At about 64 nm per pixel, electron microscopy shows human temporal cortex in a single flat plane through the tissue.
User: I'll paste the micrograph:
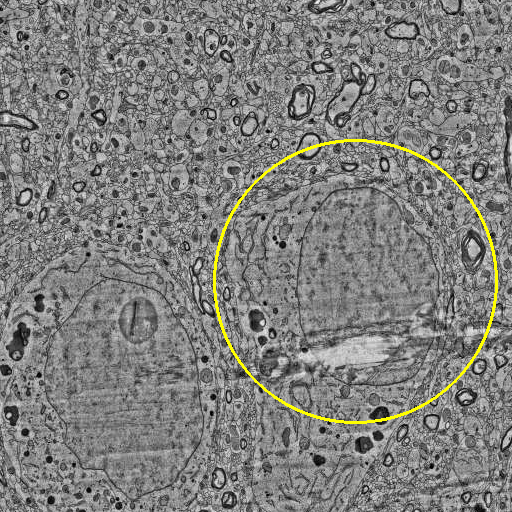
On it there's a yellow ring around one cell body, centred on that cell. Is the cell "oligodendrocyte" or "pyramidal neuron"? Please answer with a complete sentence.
The cell ringed in yellow is a pyramidal neuron.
